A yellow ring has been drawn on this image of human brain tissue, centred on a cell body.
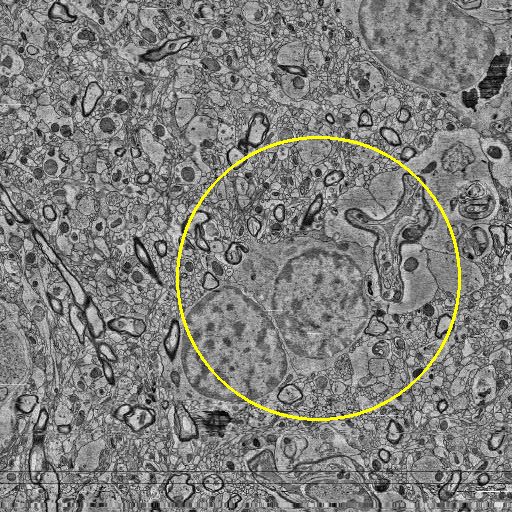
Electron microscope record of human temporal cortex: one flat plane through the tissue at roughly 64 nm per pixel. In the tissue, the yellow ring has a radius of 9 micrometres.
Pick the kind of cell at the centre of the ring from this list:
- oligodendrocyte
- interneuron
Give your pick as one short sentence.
The centre of the ring holds an oligodendrocyte.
